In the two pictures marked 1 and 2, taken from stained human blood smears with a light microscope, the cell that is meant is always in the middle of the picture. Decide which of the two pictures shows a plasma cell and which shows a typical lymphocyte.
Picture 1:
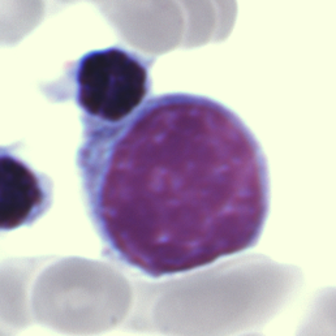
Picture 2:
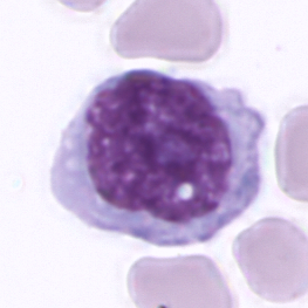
1: typical lymphocyte
2: plasma cell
